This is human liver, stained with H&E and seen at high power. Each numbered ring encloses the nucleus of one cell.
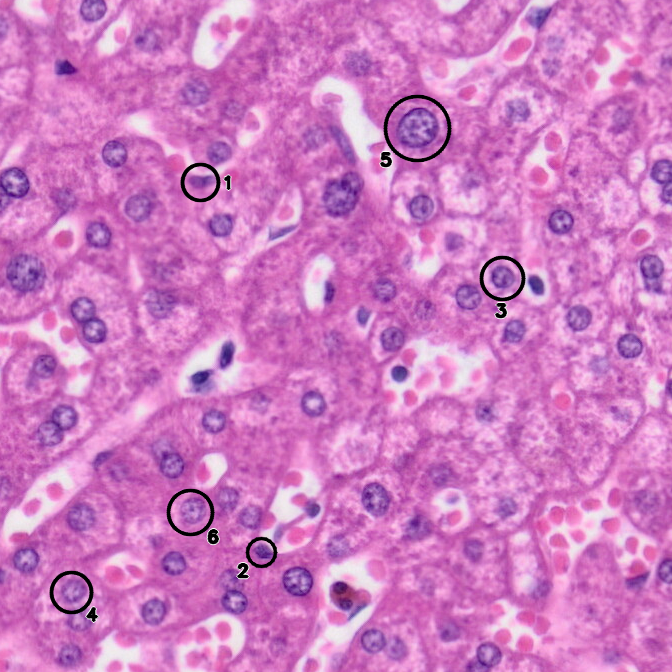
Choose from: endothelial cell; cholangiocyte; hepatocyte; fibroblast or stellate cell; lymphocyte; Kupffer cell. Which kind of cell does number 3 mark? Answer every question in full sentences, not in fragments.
Denoted by the label 3 in the section is a hepatocyte.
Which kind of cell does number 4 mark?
Cell 4 should be recorded as a hepatocyte.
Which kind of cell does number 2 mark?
Cell 2, as marked in the section, is a fibroblast or stellate cell.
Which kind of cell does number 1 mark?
Cell 1 in the field is a Kupffer cell.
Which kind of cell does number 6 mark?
The label 6 in this section denotes a hepatocyte.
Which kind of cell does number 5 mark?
That cell with number 5 is a hepatocyte.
